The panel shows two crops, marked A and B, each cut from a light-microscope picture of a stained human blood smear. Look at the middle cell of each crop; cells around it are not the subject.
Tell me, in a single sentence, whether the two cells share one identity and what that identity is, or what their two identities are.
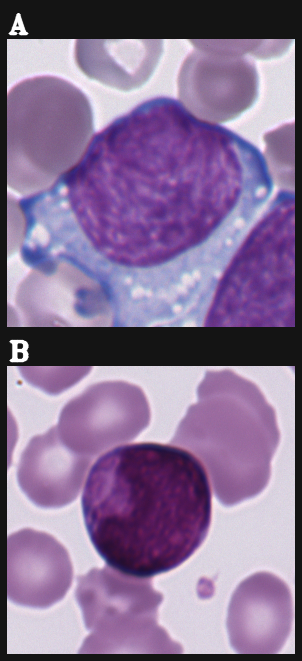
Yes, the two crops share the same answer, blasts.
